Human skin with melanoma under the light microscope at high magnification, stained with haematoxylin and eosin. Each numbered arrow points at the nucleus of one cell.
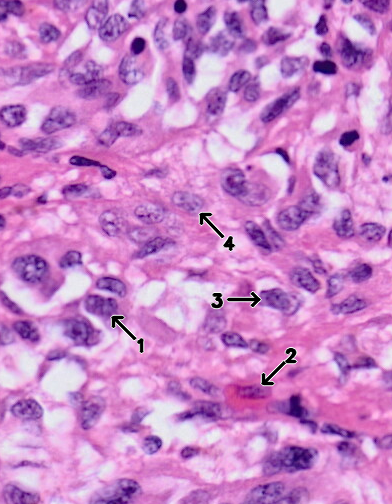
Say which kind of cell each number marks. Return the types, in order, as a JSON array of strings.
["melanoma cell", "endothelial cell", "melanoma cell", "melanoma cell"]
